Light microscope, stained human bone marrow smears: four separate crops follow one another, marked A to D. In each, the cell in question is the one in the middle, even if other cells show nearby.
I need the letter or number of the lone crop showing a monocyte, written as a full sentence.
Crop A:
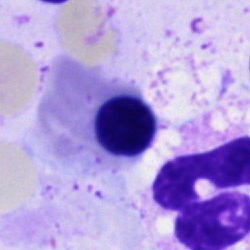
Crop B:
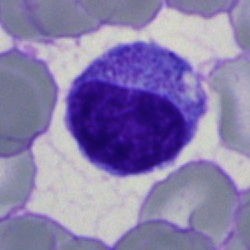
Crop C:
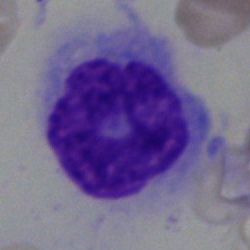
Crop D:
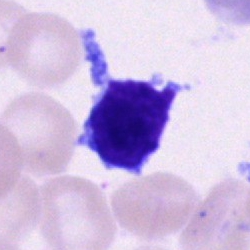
It is crop C, not any other, that shows a monocyte.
